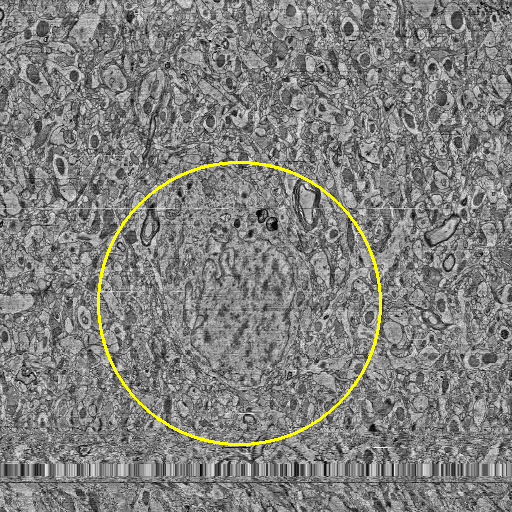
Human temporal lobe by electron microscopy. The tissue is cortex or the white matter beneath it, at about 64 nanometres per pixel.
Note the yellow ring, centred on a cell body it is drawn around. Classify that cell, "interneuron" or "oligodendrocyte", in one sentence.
The cell the ring is centred on is an interneuron.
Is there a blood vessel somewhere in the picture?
No.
